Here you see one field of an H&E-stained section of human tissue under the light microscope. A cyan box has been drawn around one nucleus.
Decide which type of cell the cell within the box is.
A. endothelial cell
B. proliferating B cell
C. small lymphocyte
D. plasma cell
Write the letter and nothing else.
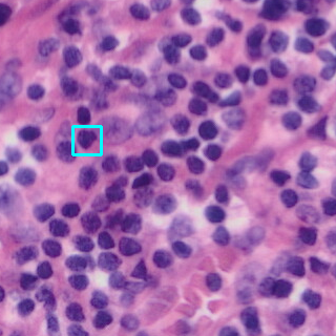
A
